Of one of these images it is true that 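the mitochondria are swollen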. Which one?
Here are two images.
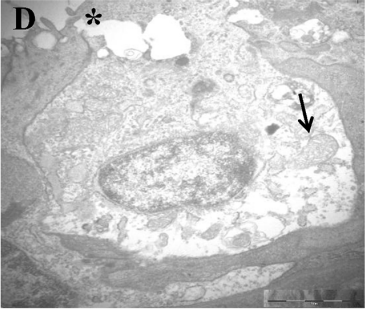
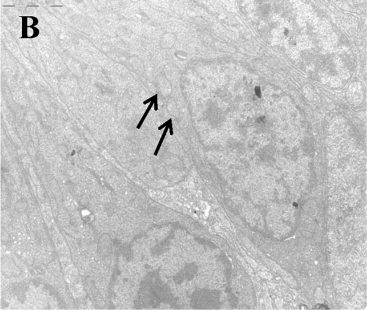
the first image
